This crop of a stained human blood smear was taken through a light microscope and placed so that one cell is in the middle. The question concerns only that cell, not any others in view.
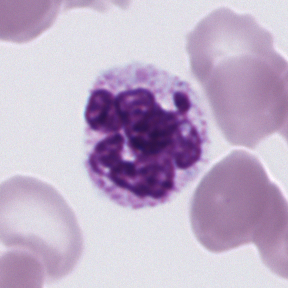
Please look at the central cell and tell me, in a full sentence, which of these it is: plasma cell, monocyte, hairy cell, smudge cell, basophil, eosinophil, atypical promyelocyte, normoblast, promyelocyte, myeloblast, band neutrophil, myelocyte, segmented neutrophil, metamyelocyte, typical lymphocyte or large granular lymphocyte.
In the centre of this crop there is a segmented neutrophil.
